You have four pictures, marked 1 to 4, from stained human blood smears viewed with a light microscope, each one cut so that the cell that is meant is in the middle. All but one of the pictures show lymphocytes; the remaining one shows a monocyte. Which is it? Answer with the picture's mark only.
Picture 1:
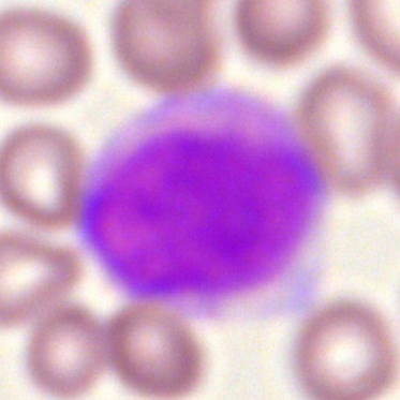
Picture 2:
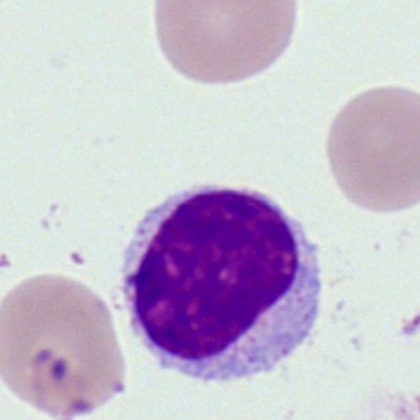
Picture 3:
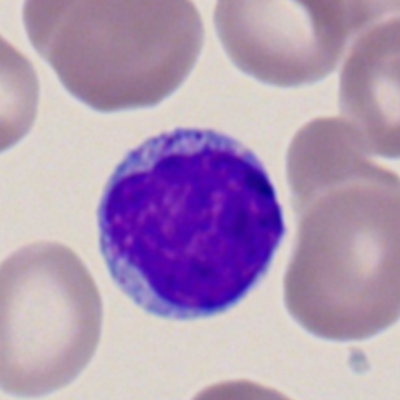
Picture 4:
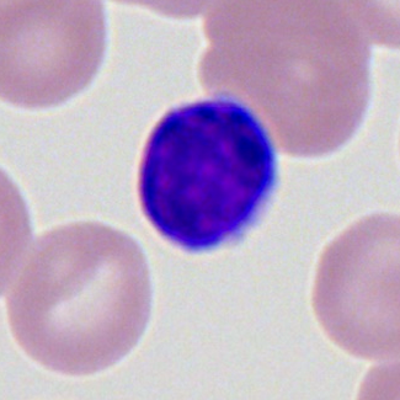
1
